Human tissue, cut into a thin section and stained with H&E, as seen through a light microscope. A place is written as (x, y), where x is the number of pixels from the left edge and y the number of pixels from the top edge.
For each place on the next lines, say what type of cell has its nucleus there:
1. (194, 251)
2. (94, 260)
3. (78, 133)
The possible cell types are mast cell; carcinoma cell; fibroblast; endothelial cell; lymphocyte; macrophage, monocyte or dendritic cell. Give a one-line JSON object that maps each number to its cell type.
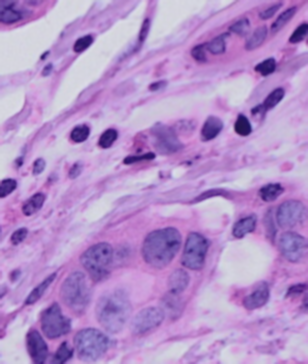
{"1": "carcinoma cell", "2": "carcinoma cell", "3": "lymphocyte"}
